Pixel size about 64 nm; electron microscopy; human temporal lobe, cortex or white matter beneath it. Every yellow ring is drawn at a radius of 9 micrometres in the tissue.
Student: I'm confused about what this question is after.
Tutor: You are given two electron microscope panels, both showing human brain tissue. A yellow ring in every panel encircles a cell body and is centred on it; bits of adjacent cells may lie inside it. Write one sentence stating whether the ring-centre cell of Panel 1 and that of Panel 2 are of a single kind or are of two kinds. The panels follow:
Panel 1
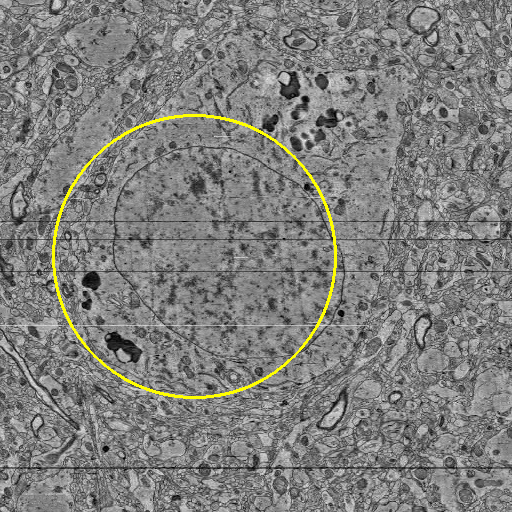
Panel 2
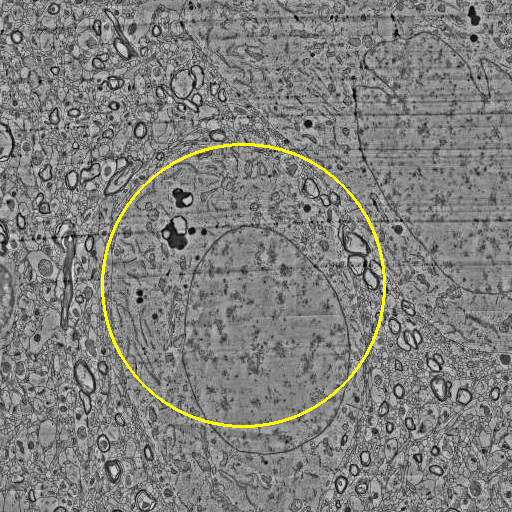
Here, the Panel 1 ring-centre cell and the Panel 2 ring-centre cell are of a single kind.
